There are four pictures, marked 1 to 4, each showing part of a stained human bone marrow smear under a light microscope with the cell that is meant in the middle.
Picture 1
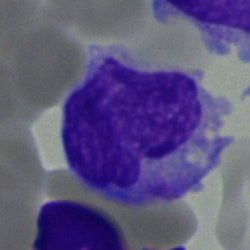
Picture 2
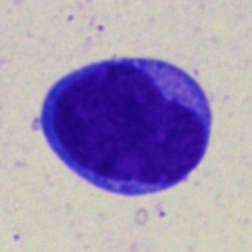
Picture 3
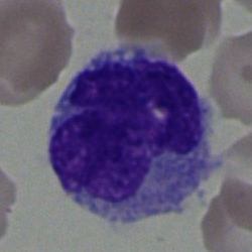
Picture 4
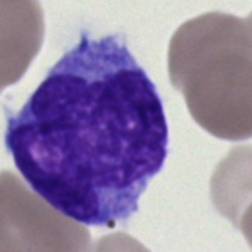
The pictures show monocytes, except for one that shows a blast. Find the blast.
2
